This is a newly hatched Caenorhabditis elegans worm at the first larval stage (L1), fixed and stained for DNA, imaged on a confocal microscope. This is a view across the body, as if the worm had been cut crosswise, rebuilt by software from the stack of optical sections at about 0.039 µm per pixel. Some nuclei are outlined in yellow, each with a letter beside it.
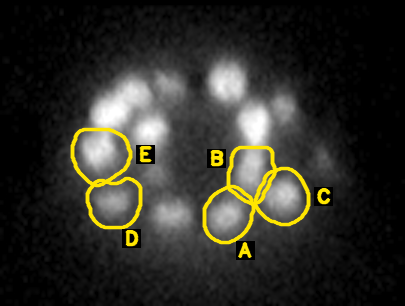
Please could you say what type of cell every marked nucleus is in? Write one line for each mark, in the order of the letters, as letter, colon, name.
A: neuron
B: GLR cell
C: neuron
D: body wall muscle cell
E: neuron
